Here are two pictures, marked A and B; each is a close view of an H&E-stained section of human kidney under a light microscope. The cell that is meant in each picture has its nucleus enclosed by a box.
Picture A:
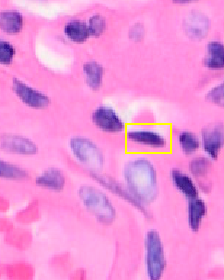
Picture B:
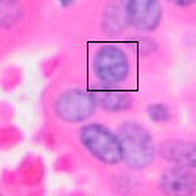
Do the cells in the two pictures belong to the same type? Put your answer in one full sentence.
No. Picture A shows an endothelial cell, but picture B shows a collecting duct cell.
